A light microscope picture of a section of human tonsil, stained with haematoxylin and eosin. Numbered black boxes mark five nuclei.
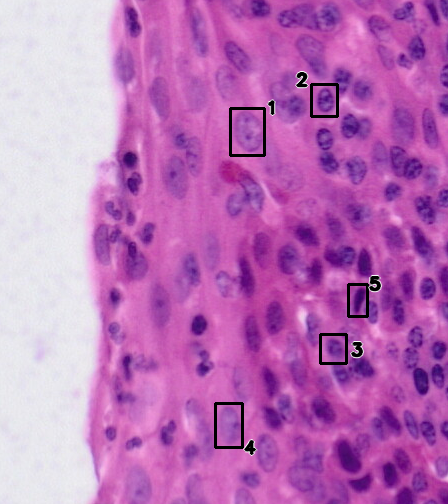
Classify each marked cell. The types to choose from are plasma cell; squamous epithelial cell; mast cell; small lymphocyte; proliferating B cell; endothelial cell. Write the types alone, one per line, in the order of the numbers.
squamous epithelial cell
plasma cell
plasma cell
squamous epithelial cell
squamous epithelial cell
